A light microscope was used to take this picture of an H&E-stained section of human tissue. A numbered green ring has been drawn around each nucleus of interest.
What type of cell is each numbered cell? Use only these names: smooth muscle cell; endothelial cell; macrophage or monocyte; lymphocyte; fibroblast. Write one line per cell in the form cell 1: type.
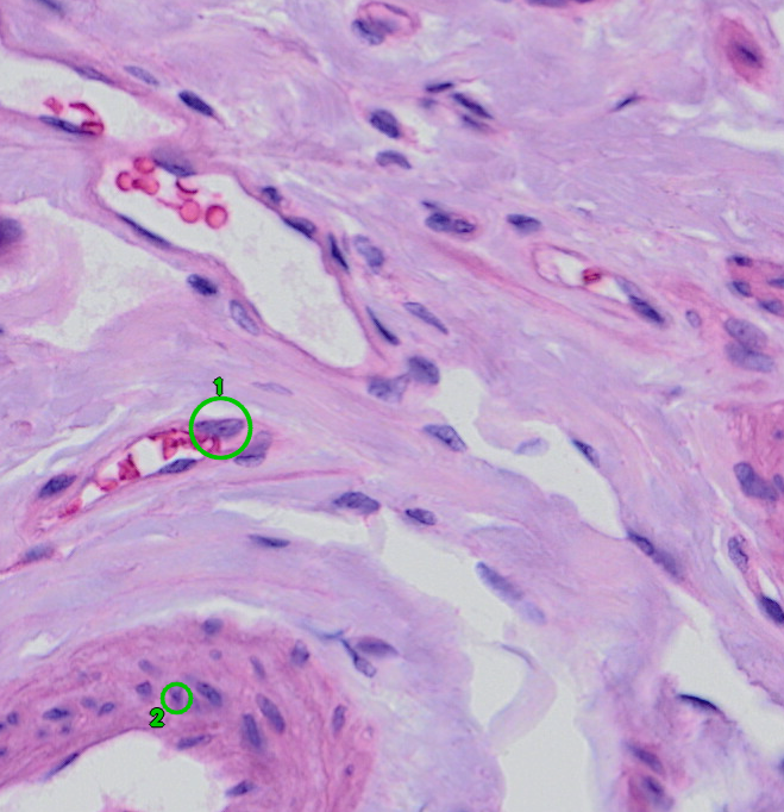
cell 1: endothelial cell
cell 2: smooth muscle cell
